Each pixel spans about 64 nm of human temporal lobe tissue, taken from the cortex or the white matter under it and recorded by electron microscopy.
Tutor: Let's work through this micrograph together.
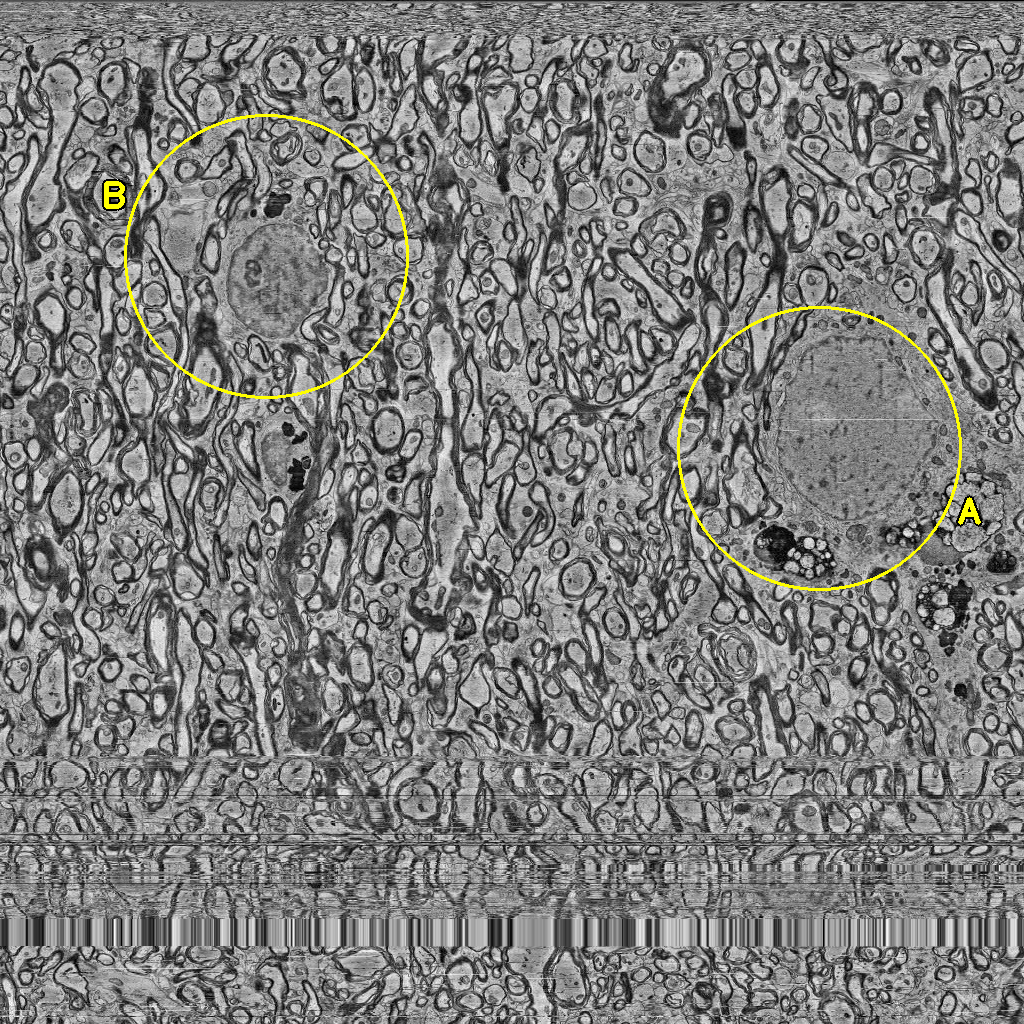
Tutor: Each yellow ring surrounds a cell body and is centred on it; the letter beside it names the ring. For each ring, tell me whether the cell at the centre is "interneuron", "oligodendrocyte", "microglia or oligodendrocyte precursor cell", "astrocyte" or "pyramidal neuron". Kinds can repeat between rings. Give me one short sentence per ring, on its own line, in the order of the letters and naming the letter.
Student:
The ring labelled A is centred on an astrocyte.
The ring labelled B is centred on an oligodendrocyte.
